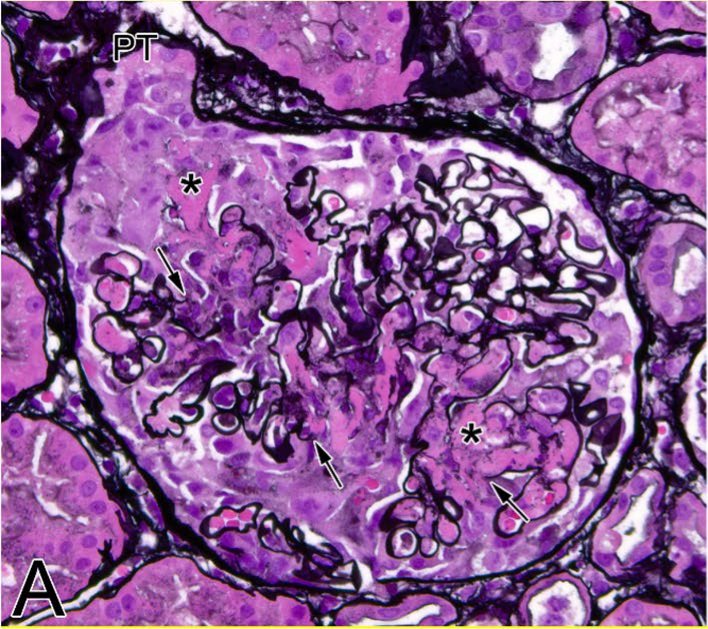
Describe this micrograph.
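A glomerulus with segmental fibrinoid necrosis and an early cellular crescent. The capillary loops are outlined by black silver-stained basement membranes, which are broken and frayed in several places. Bright pink, smudgy, acellular material lies in the damaged segments and replaces the loop outlines. Toward the upper left, layered cells fill Bowman's space next to an adjoining tubule. The other segments keep open loops, some of which hold red blood cells.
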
